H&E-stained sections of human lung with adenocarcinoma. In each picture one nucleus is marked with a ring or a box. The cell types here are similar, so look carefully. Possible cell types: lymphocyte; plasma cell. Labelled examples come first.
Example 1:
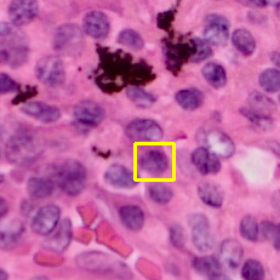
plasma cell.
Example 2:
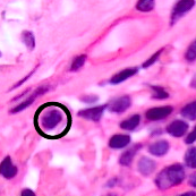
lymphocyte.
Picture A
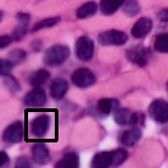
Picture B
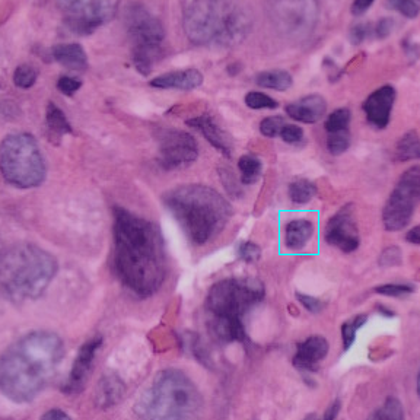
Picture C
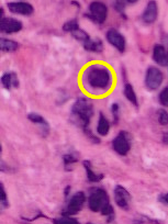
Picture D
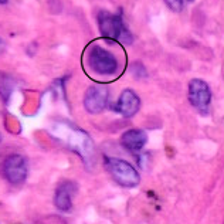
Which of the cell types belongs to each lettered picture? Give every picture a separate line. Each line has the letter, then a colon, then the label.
A: lymphocyte.
B: lymphocyte.
C: plasma cell.
D: plasma cell.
